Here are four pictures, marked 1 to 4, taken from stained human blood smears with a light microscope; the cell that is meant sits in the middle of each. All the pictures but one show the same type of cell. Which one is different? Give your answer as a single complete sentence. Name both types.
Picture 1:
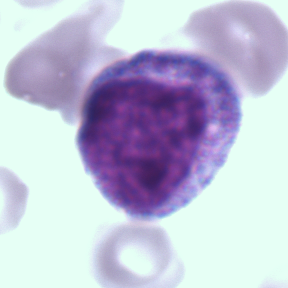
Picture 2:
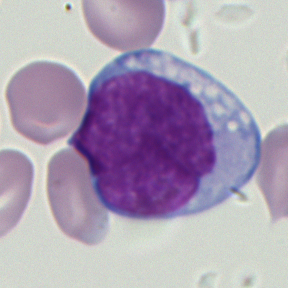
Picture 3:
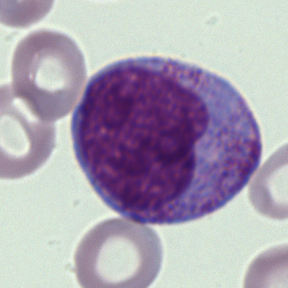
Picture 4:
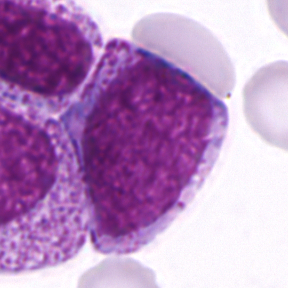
The different one is picture 2; it shows a myeloblast, whereas all the others show promyelocytes.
